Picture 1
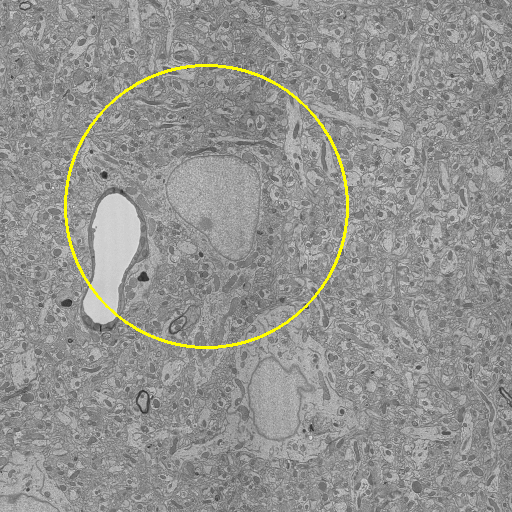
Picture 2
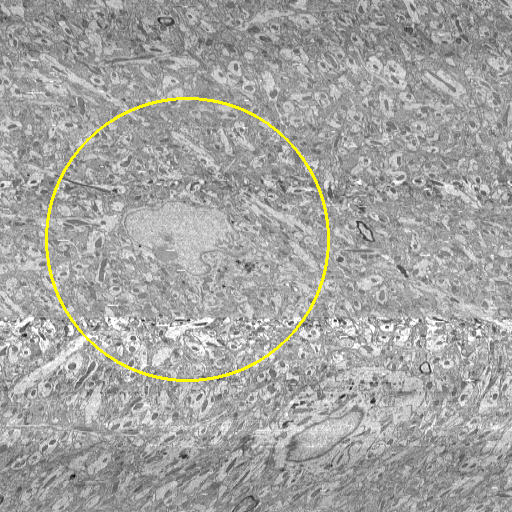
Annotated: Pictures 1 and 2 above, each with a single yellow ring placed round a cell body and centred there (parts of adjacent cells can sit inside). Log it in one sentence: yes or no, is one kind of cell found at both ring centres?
Yes, the ring centres of the two pictures hold cells of one kind.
